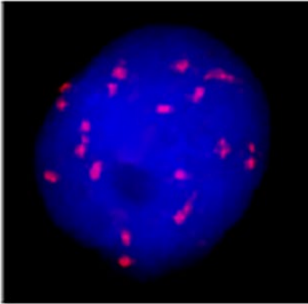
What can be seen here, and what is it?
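The nucleus is round to slightly oval with a smooth outline and fairly even blue staining, with a small darker spot near the lower middle. About twenty compact red foci are scattered across the whole nucleus, some near the centre and several at the edge. The foci are discrete spots, a few slightly elongated or irregular, and none run together into larger patches. No cytoplasm is seen around the nucleus.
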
